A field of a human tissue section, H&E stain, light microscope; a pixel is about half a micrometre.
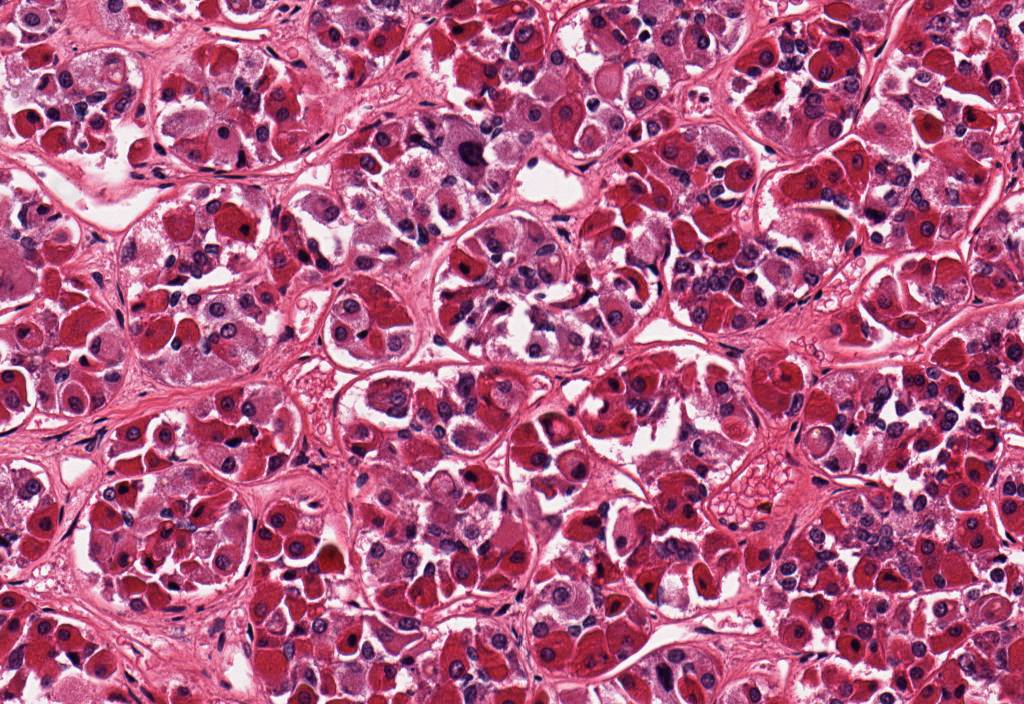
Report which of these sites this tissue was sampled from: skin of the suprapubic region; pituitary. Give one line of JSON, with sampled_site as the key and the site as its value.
{"sampled_site": "pituitary"}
